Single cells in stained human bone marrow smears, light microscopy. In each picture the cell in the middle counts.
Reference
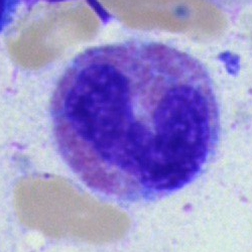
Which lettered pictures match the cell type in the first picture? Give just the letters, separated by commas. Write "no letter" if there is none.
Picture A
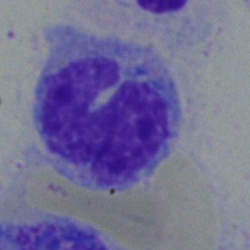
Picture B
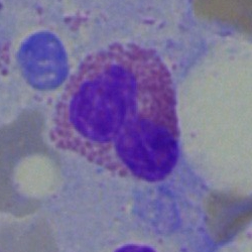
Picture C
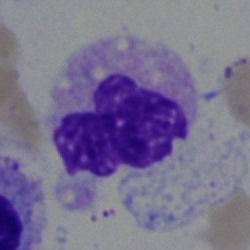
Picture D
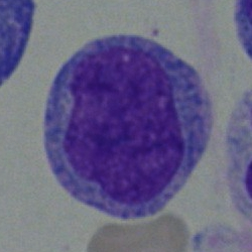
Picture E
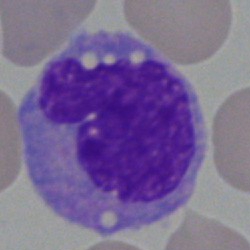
B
